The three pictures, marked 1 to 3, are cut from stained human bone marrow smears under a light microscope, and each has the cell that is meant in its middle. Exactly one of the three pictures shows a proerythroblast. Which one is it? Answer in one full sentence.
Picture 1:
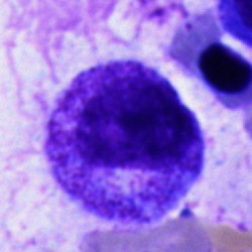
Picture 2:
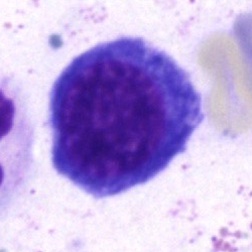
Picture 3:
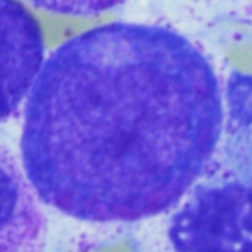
It is picture 2 that shows the proerythroblast.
